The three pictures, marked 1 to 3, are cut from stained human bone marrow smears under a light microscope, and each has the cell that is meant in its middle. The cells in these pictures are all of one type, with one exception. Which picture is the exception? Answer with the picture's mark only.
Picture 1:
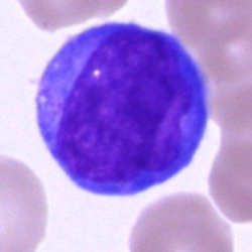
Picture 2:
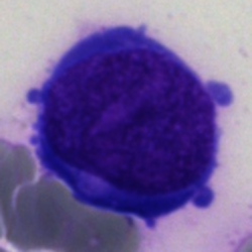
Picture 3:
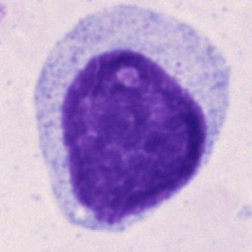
3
